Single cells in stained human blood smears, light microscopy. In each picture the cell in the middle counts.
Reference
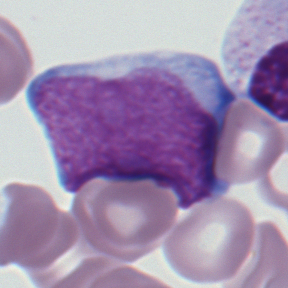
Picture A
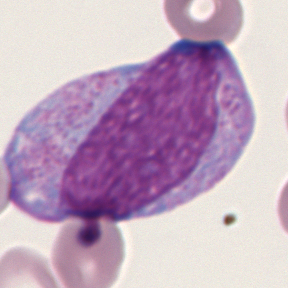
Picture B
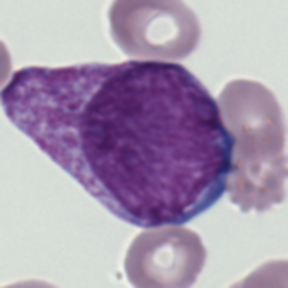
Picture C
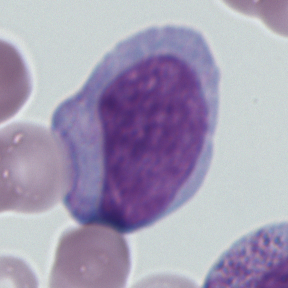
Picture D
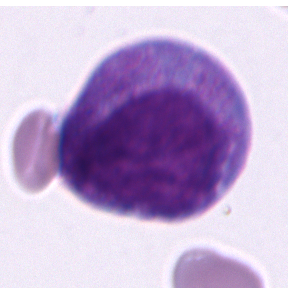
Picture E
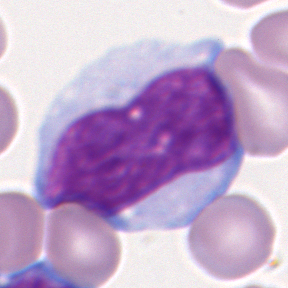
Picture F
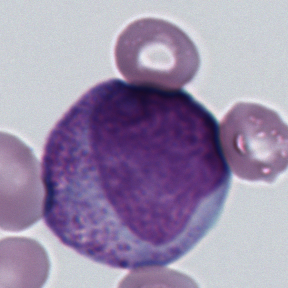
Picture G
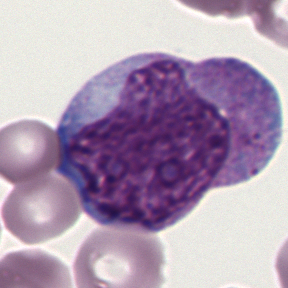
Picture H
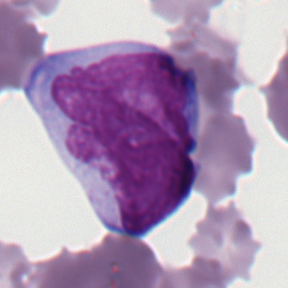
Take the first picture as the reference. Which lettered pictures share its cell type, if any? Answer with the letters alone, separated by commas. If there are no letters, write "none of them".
E, H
